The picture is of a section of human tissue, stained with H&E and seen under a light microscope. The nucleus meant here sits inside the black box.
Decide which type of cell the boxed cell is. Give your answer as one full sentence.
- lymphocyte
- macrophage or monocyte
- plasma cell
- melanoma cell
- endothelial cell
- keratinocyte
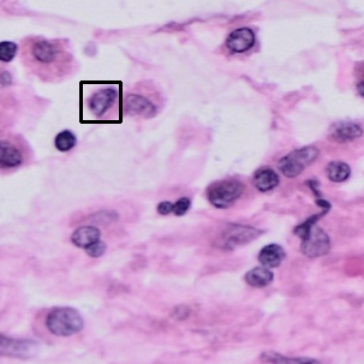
The cell meant here is a macrophage or monocyte.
